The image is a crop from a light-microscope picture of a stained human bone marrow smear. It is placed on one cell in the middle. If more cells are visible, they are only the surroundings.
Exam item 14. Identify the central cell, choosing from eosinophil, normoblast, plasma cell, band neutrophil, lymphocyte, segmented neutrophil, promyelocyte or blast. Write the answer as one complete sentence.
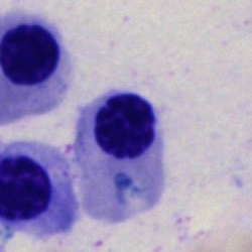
The cell at the centre of the field is a normoblast.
